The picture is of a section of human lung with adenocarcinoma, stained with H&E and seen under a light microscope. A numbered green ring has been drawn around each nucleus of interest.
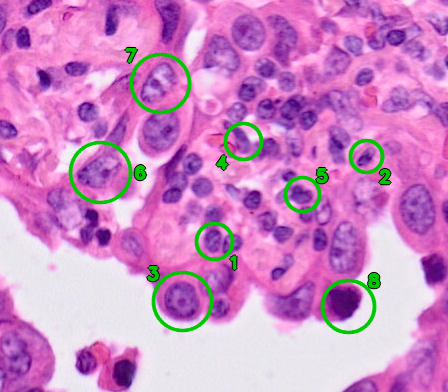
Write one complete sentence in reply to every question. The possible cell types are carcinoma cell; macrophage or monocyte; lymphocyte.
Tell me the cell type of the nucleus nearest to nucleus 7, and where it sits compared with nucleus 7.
The nearest nucleus is that of a macrophage or monocyte and lies to the left of nucleus 7.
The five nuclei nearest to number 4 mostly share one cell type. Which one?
Lymphocytes account for more than half of the five nuclei nearest to number 4.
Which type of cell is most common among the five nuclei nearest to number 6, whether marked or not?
Carcinoma cells make up most of the five nuclei closest to number 6.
